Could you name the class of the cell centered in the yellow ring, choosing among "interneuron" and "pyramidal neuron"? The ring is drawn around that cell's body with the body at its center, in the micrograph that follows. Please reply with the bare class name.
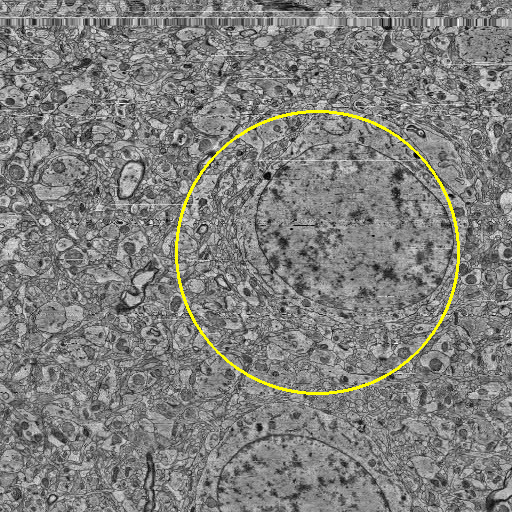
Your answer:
pyramidal neuron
